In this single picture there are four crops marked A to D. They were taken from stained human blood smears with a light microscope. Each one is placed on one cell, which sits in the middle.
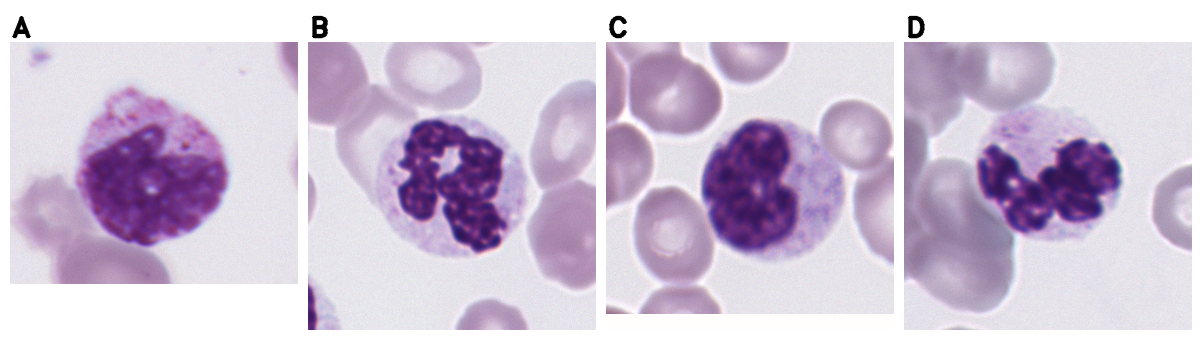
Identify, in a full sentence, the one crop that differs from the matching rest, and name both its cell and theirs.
Crop A is the exception in this set, showing a band neutrophil while the others show segmented neutrophils.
